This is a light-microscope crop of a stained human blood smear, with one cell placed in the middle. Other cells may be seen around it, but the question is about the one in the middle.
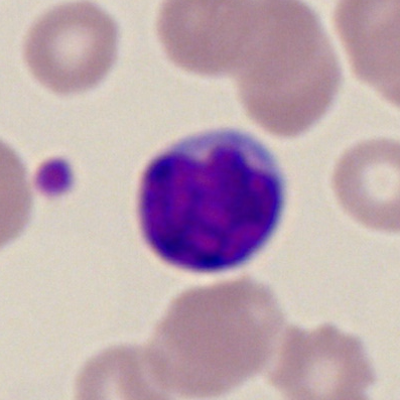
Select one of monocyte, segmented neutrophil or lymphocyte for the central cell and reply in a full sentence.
The cell at the middle of the frame should be recorded as a lymphocyte.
